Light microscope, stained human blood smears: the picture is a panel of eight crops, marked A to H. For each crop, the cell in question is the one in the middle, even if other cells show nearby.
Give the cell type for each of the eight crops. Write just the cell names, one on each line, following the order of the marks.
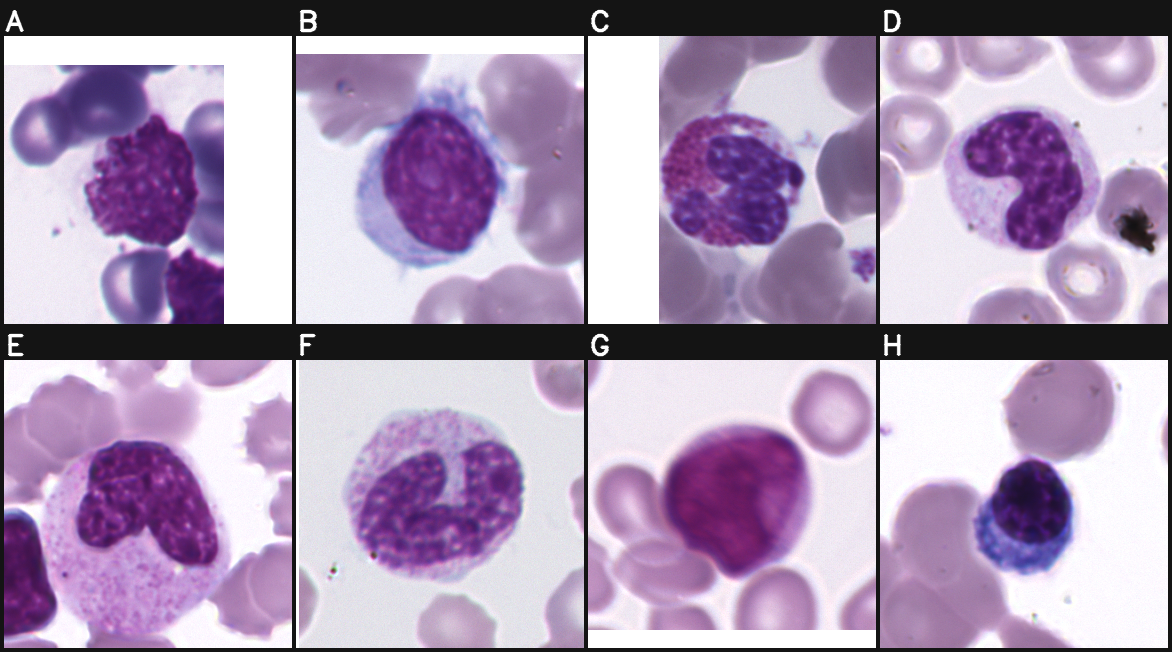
smudge cell
hairy cell
eosinophil
band neutrophil
band neutrophil
band neutrophil
myeloblast
plasma cell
